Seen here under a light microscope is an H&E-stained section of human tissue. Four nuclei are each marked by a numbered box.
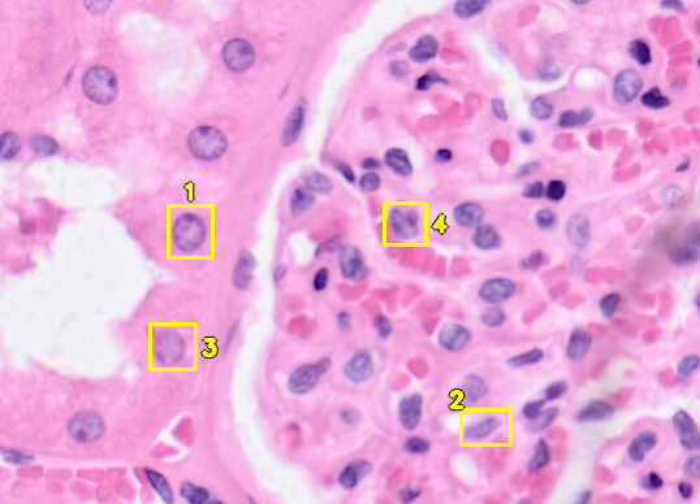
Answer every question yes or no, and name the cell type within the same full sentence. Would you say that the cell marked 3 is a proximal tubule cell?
Yes, the cell denoted by 3 is a proximal tubule cell.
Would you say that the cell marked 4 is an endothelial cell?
Yes, for number 4, the cell is an endothelial cell.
